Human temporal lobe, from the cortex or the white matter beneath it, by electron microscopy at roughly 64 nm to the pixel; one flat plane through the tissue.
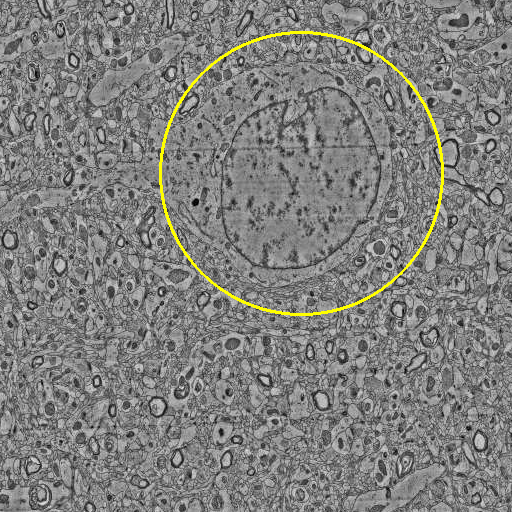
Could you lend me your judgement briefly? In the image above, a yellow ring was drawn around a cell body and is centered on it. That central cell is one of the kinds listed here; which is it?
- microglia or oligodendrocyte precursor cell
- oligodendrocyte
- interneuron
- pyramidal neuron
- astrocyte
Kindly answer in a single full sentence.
Going by the list, a pyramidal neuron is the kind at the ring's center in the picture.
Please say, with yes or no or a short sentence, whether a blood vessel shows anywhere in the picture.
No, none is visible.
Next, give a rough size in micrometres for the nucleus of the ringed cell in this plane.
In this plane, approximately 12 by 10 micrometers.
